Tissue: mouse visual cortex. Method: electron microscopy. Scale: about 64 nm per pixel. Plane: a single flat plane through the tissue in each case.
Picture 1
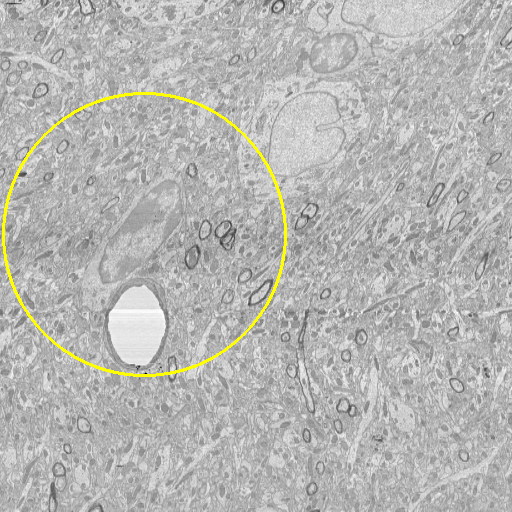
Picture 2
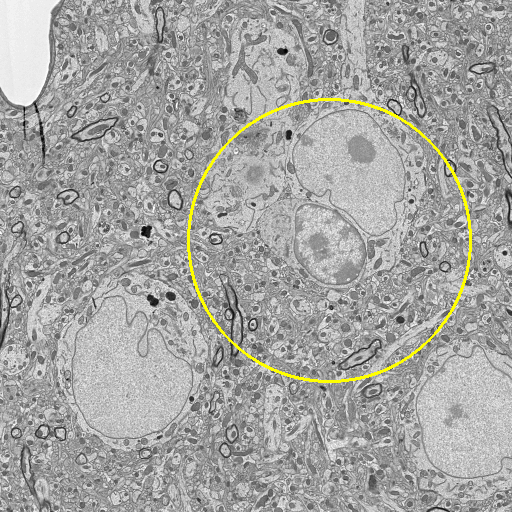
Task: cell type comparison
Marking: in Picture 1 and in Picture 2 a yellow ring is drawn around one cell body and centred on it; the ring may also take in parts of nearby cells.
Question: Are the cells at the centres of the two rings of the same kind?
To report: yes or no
yes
